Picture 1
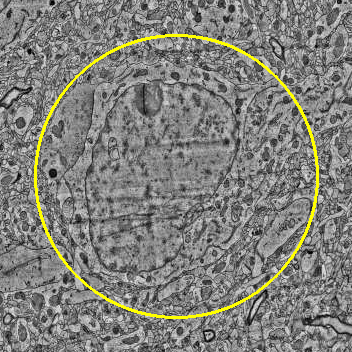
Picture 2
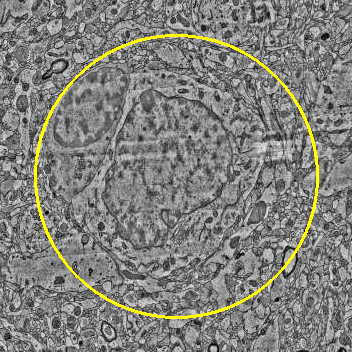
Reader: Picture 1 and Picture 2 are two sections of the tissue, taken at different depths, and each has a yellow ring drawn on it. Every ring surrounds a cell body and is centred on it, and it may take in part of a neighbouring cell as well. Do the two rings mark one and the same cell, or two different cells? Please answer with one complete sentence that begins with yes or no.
Yes, only one cell is involved, and both rings mark it.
